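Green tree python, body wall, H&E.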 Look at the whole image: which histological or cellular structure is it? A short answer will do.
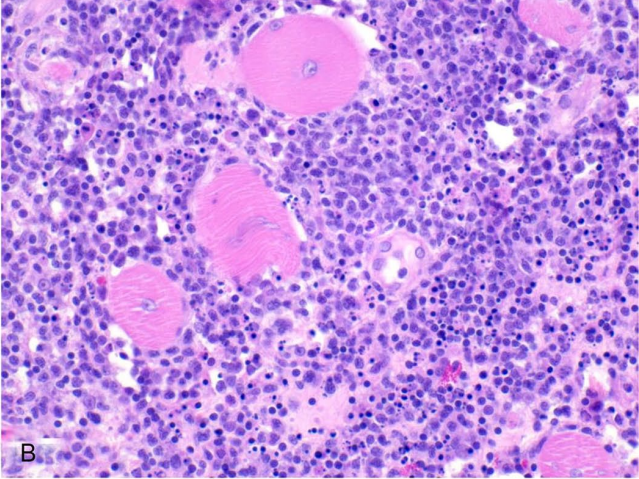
Myofibers.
